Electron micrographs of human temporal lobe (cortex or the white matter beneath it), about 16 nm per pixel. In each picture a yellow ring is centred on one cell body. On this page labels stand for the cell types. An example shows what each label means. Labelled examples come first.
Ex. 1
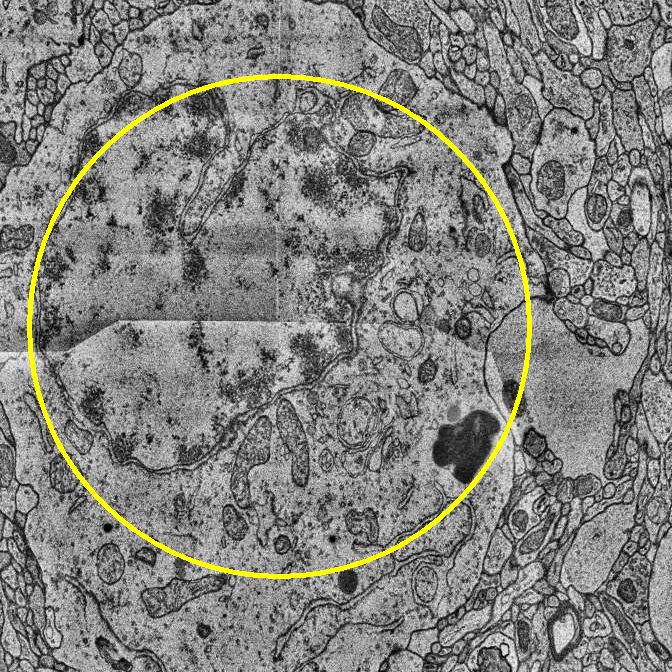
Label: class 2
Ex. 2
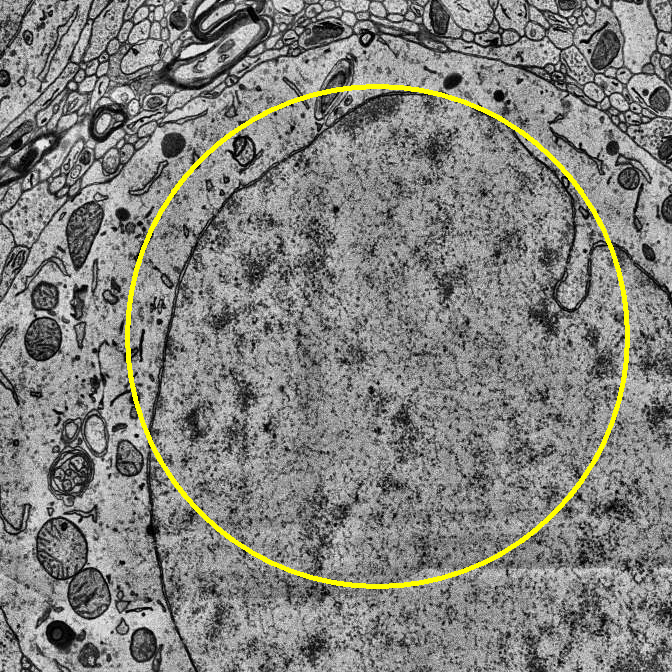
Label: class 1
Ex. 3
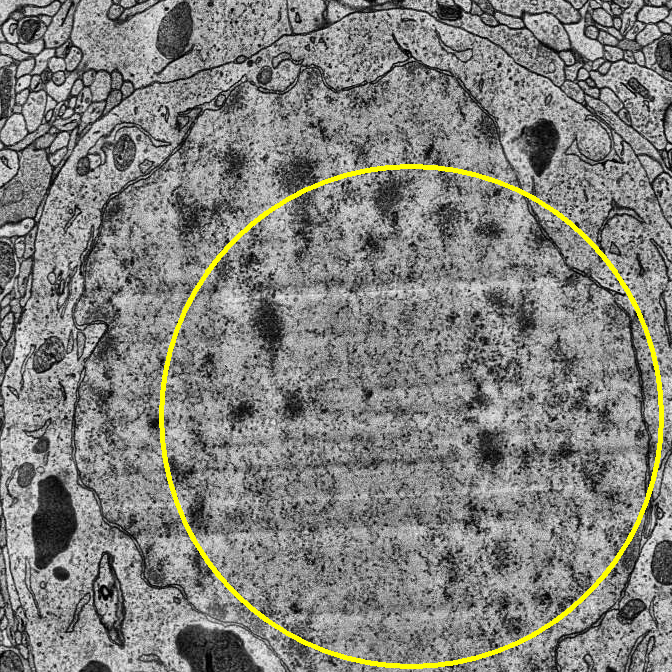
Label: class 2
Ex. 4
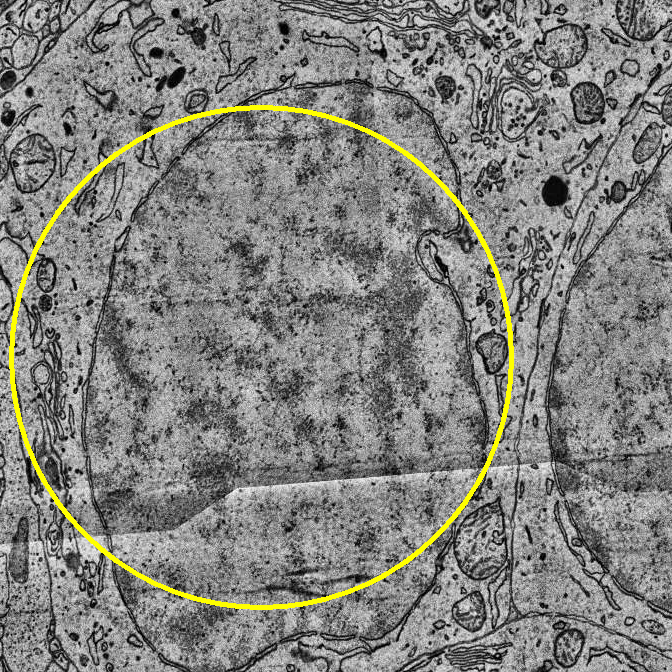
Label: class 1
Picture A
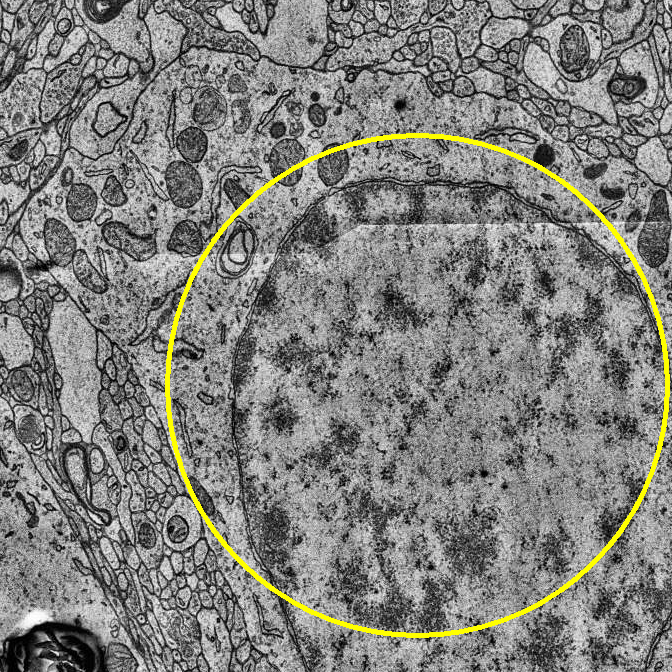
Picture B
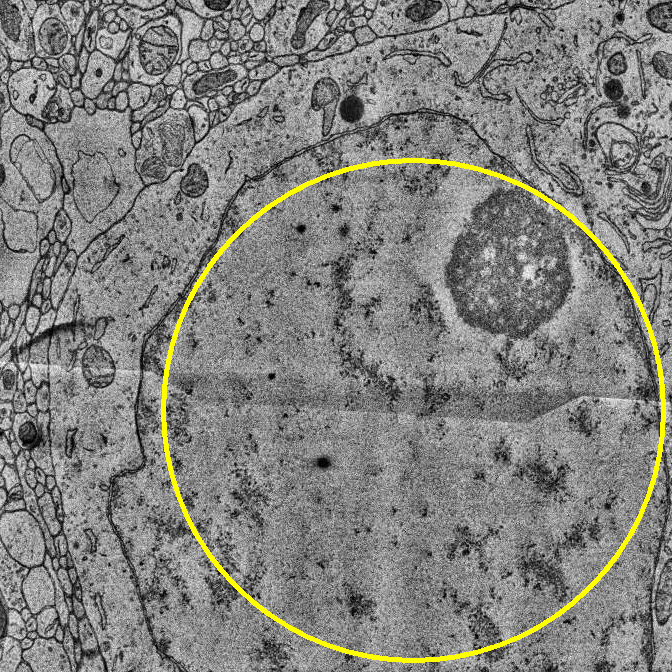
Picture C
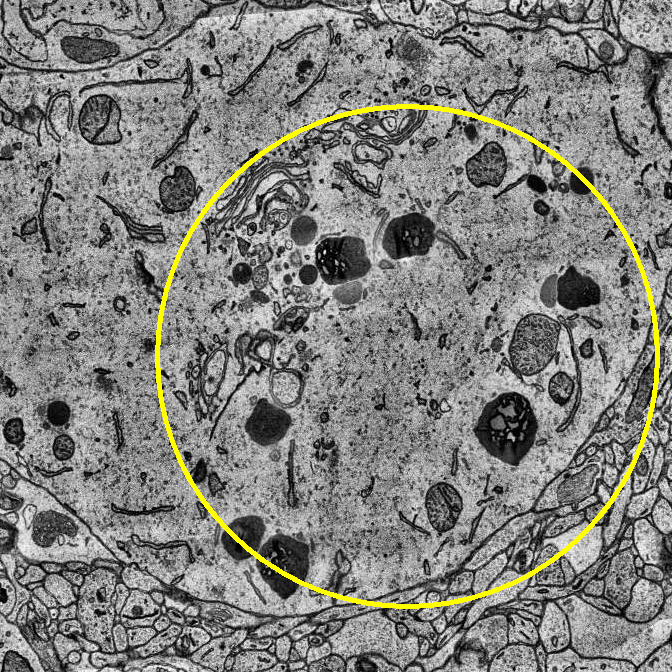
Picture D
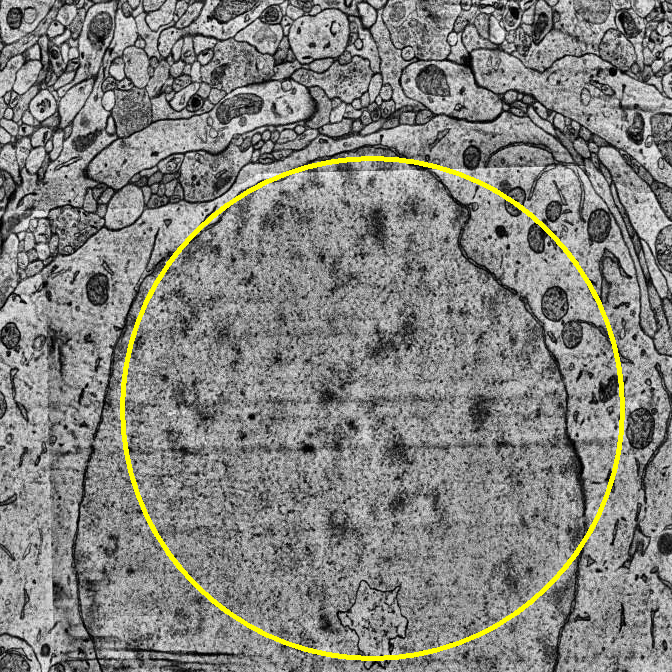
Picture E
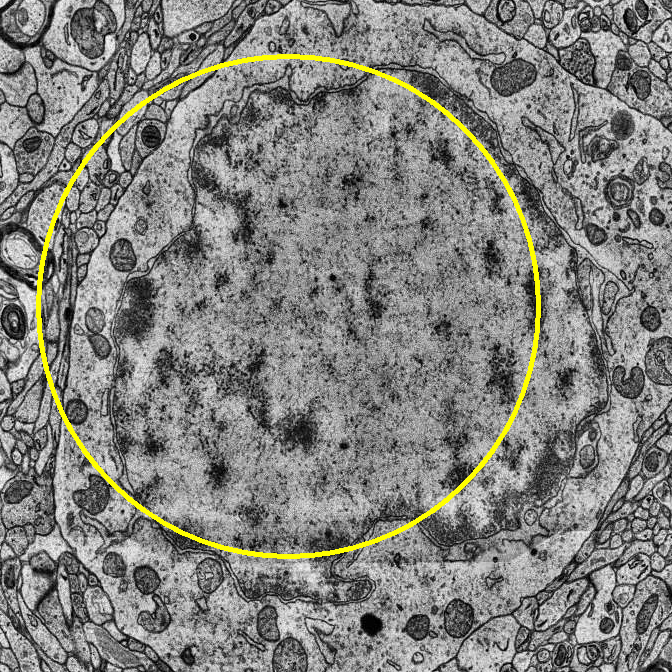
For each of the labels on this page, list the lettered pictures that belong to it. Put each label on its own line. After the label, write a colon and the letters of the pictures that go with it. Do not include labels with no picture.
class 2: A, E
class 1: B, C, D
